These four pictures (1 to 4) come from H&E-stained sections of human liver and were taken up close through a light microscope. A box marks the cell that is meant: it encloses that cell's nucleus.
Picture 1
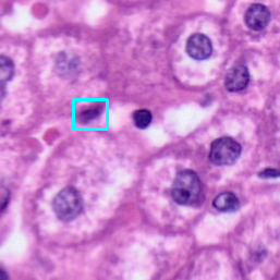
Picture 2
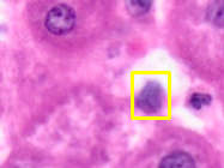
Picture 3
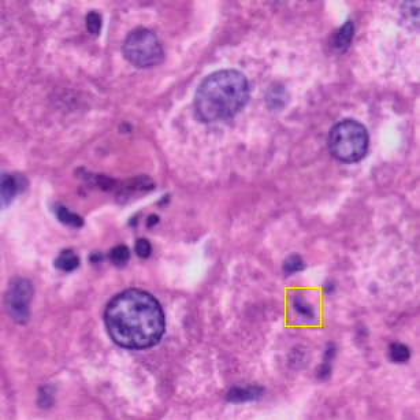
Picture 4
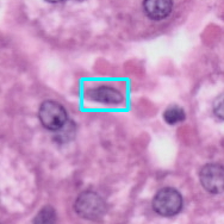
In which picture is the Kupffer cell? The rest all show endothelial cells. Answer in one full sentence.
The cell in picture 4 is the Kupffer cell.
